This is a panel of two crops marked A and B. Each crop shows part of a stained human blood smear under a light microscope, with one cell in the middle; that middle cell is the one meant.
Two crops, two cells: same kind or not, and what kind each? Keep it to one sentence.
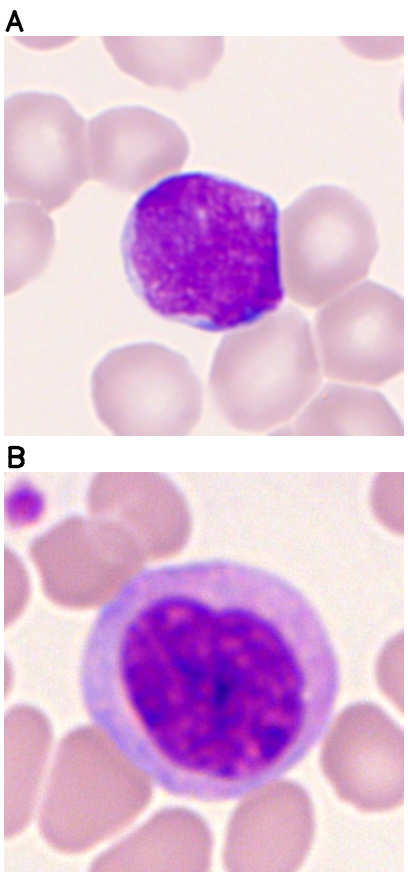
No, a blast is shown in crop A and a monocyte in crop B.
